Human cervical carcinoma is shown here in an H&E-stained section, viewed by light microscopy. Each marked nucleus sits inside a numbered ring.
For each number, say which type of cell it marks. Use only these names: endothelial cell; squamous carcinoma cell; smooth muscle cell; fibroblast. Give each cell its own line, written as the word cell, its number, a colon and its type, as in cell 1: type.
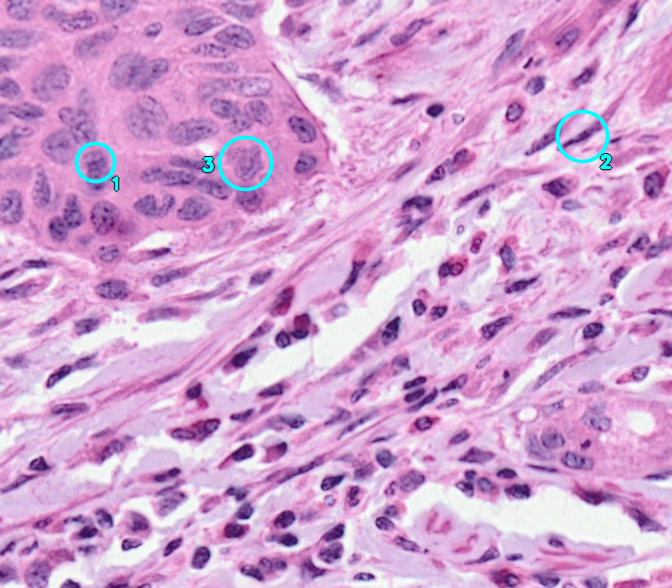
cell 1: squamous carcinoma cell
cell 2: fibroblast
cell 3: squamous carcinoma cell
